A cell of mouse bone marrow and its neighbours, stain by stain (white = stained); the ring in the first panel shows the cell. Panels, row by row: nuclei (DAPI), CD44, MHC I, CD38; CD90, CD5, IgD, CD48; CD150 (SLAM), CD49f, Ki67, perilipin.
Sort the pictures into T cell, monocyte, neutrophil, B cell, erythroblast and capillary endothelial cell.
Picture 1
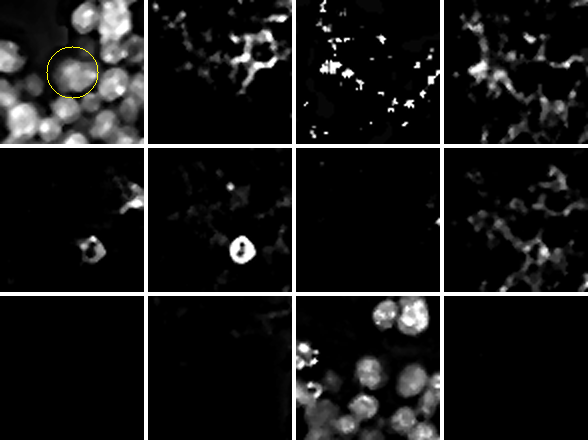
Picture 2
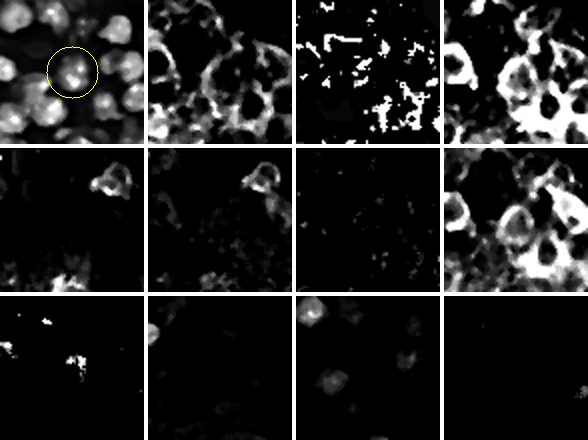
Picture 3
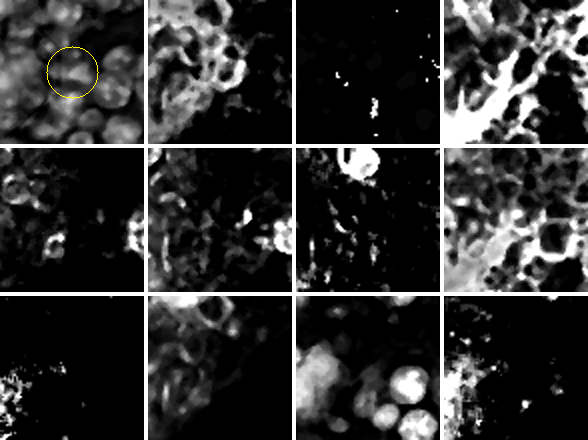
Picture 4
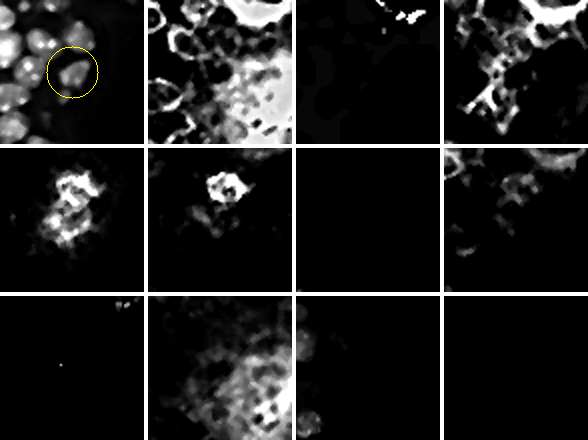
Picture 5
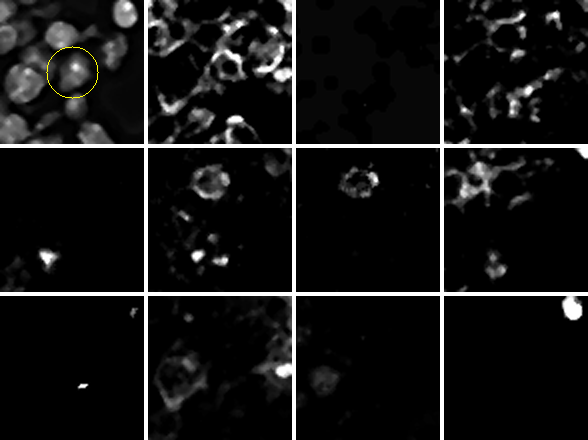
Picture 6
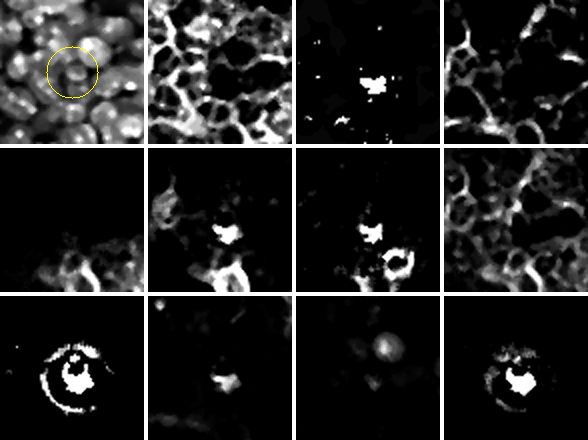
Erythroblasts: 1
Monocytes: 2, 3
Capillary endothelial cells: 4
Neutrophils: 5
B cells: 6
